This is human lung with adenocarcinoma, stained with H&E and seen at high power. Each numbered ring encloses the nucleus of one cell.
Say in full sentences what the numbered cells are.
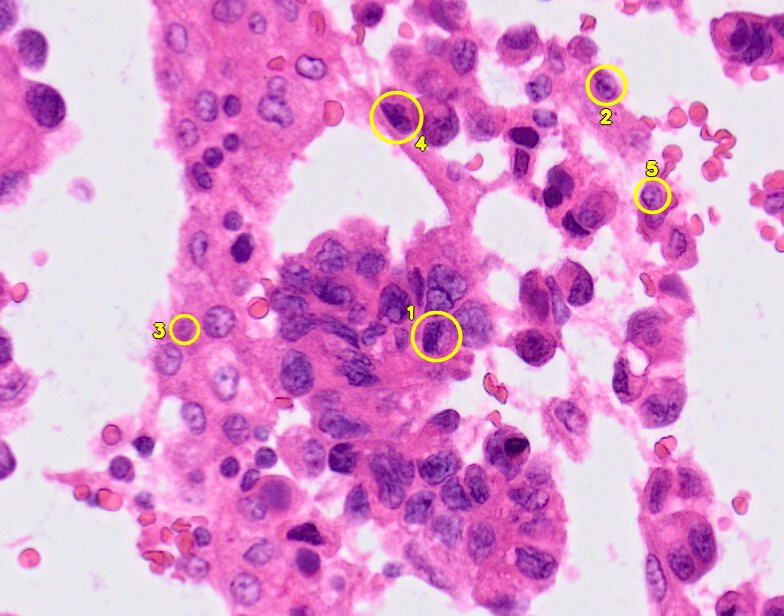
Cell 1 is a carcinoma cell, cell 2 is a macrophage or monocyte, cell 3 is a macrophage or monocyte, cell 4 is a carcinoma cell and cell 5 is a macrophage or monocyte.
